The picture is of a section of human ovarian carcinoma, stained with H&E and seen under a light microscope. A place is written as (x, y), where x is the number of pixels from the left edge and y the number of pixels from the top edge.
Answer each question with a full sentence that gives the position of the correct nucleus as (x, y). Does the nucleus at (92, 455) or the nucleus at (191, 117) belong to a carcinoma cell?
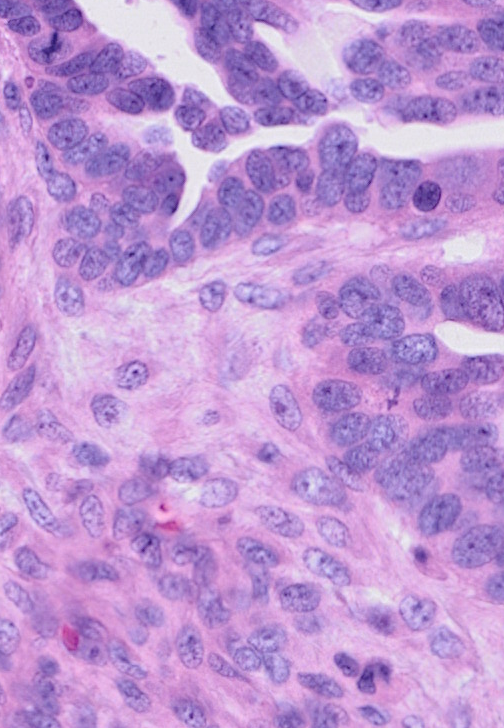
The nucleus at (191, 117) is part of a carcinoma cell, while the other is not.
